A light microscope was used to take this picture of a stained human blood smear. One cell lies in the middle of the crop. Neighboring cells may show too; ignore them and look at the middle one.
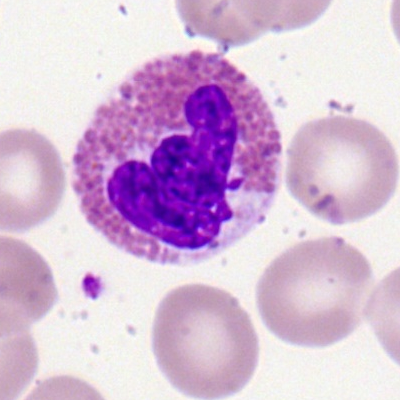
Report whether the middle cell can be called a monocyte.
no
